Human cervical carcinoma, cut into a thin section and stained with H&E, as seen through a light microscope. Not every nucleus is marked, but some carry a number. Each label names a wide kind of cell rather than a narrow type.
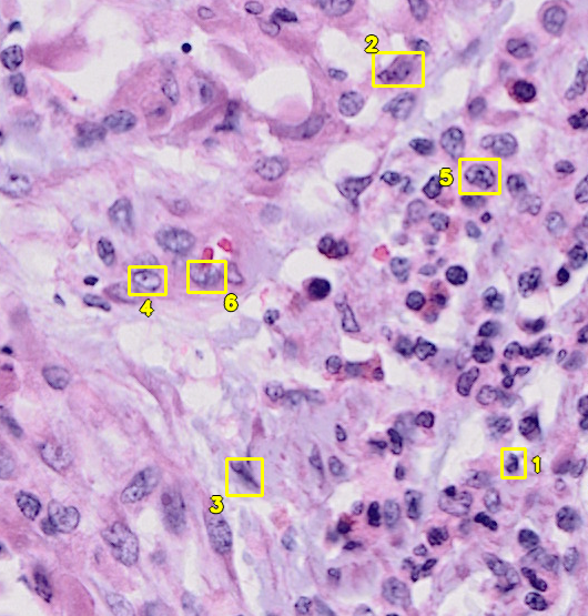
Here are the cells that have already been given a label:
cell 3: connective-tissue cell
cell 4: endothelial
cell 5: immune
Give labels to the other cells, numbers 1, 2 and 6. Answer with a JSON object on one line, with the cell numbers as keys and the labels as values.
{"1": "immune", "2": "immune", "6": "endothelial"}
